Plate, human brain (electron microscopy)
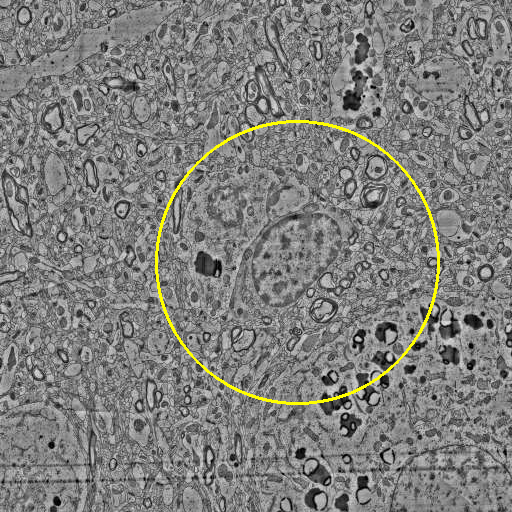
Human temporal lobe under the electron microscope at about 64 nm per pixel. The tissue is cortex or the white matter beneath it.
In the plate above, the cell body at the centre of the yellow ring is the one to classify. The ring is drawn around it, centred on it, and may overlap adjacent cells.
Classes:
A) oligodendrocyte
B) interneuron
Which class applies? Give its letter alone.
A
